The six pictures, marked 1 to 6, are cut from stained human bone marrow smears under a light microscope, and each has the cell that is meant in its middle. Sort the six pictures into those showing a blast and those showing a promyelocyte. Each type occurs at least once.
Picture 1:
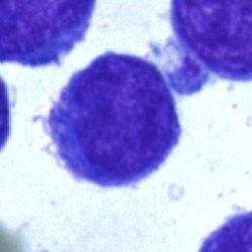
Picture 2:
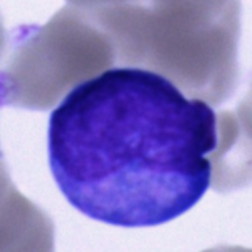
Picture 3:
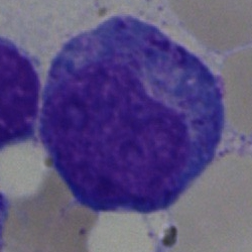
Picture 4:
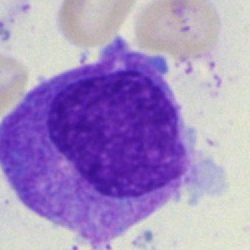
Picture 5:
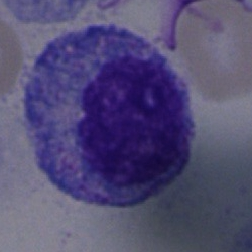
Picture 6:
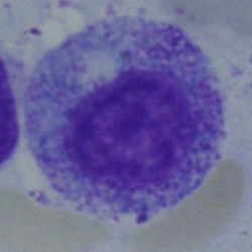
1: blast
2: blast
3: promyelocyte
4: promyelocyte
5: promyelocyte
6: promyelocyte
